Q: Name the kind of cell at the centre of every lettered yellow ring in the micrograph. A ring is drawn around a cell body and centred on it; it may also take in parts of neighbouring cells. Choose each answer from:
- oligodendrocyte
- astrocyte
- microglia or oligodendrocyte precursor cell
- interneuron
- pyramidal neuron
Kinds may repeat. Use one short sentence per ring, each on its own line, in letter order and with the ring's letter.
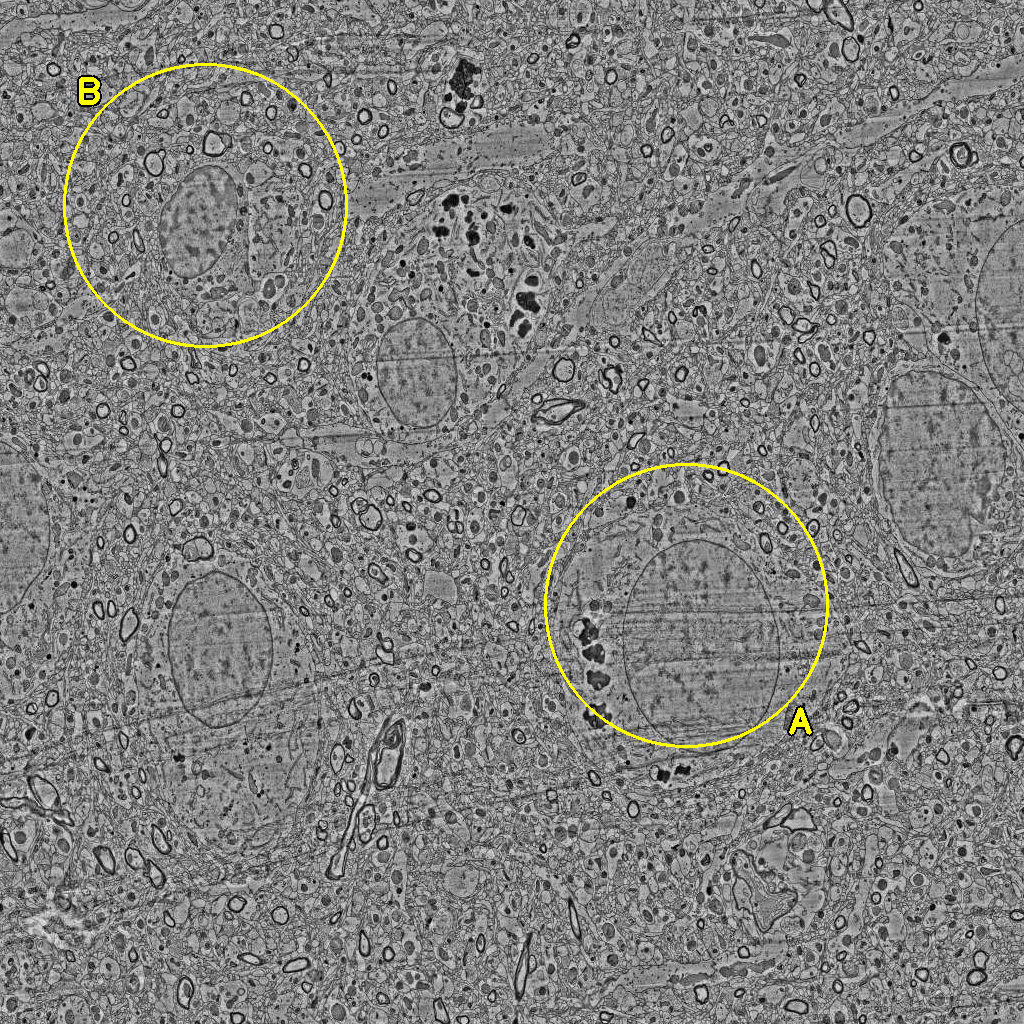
Ring A is placed around a pyramidal neuron.
Ring B is placed around an oligodendrocyte.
